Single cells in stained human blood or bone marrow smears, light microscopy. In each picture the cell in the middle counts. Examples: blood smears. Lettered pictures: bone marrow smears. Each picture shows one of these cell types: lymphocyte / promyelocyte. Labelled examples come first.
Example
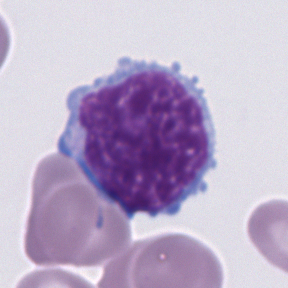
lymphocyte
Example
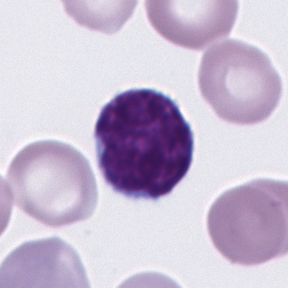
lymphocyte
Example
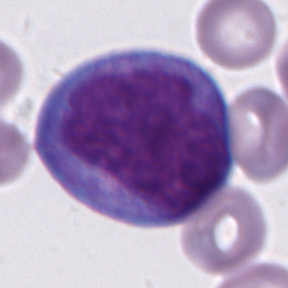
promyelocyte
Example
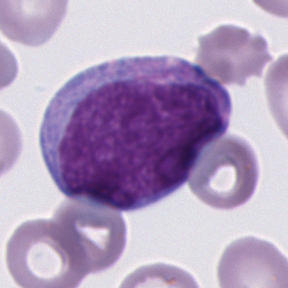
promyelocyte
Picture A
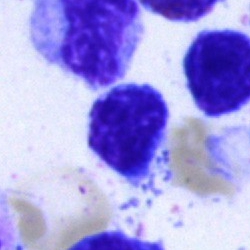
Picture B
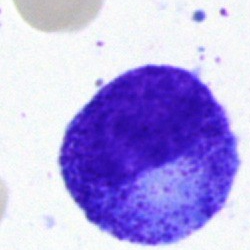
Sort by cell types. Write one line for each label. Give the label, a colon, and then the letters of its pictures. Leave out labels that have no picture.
lymphocyte: A
promyelocyte: B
